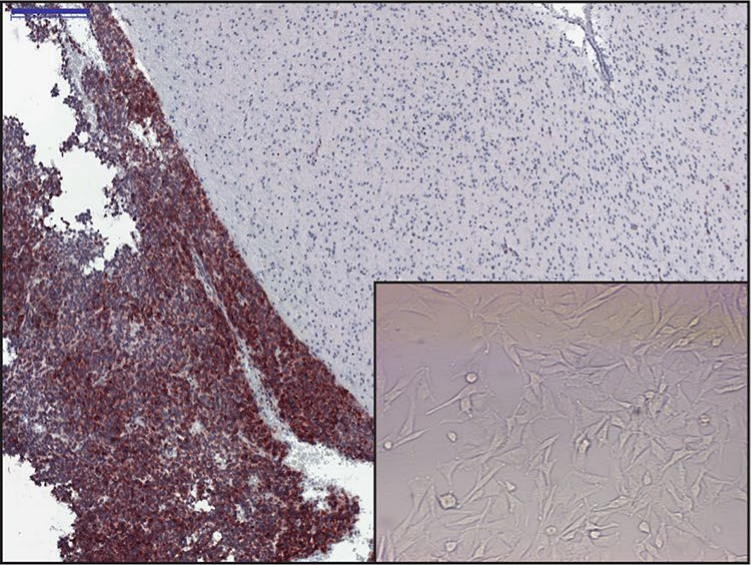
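Brain with a tumor growing in the leptomeninges, its densely packed cells stained brown, lying beside pale brain parenchyma with evenly scattered small blue nuclei. The border between tumor and parenchyma is sharp and smooth, running diagonally across the field, with hardly any brown cells beyond it. The tumor mass is loosened by clear gaps and clefts. The inset shows flat, spindle-shaped and polygonal cells spread singly on a culture surface.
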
